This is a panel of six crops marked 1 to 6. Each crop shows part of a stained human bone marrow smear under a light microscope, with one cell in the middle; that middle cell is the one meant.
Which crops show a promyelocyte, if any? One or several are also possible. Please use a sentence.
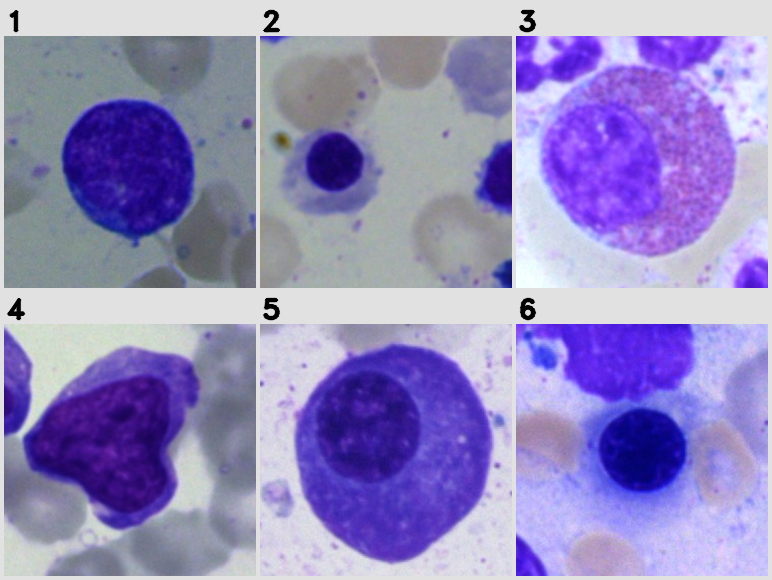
Absent from every one of the crops is a promyelocyte.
